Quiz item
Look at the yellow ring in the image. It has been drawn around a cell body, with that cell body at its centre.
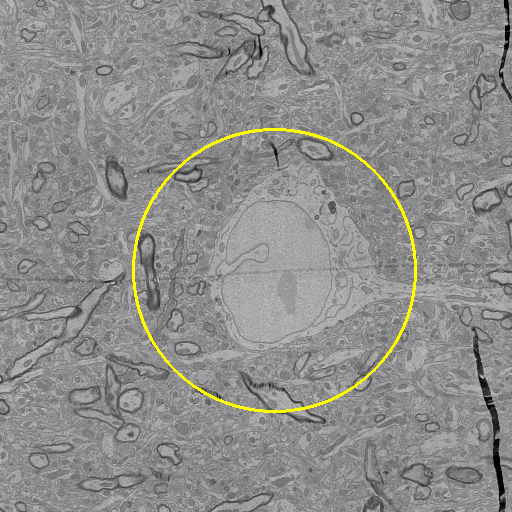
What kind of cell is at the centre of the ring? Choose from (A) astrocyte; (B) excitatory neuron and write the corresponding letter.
B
